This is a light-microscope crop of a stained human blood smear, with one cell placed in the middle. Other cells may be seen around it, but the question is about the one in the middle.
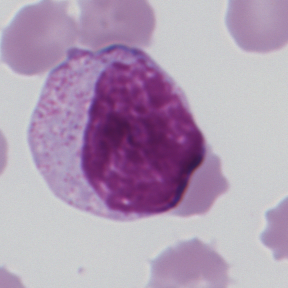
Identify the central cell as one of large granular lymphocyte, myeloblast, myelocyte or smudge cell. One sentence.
The crop centres on a single cell, and that cell is a myelocyte.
